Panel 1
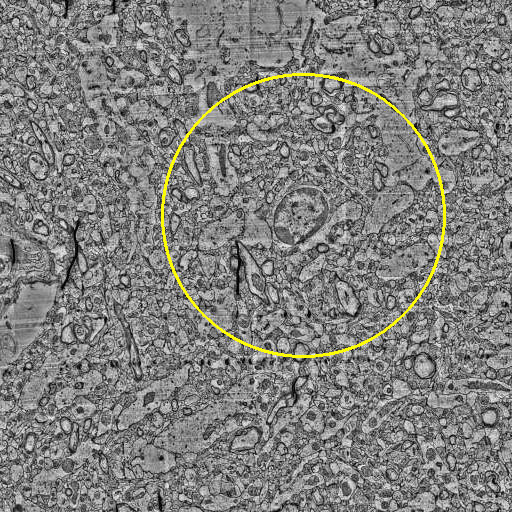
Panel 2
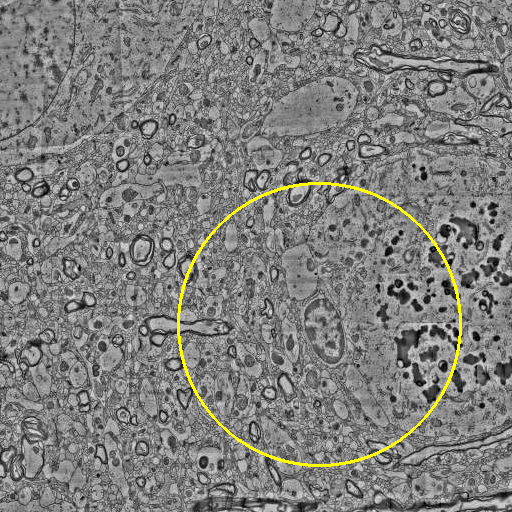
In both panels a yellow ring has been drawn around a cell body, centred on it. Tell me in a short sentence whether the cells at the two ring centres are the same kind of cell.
Yes, they are the same kind of cell.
